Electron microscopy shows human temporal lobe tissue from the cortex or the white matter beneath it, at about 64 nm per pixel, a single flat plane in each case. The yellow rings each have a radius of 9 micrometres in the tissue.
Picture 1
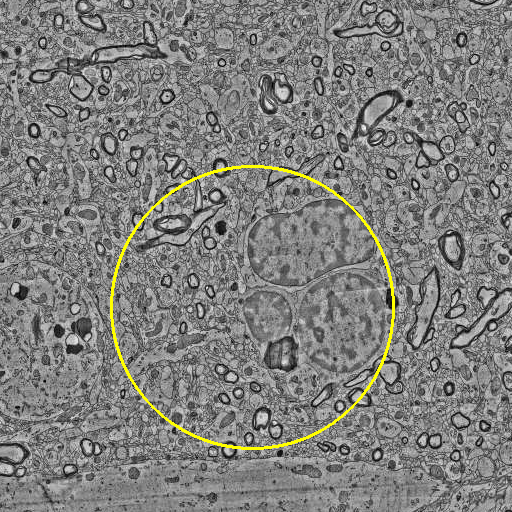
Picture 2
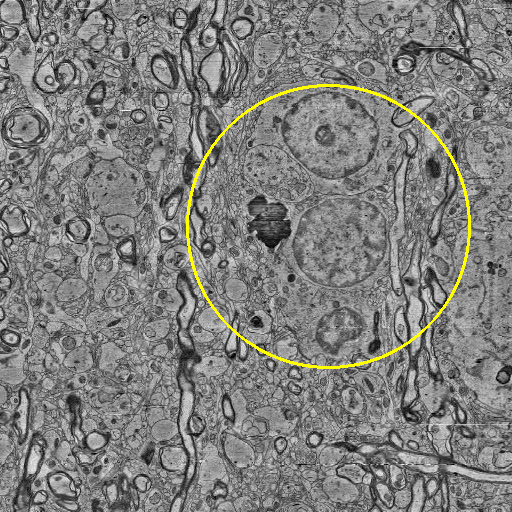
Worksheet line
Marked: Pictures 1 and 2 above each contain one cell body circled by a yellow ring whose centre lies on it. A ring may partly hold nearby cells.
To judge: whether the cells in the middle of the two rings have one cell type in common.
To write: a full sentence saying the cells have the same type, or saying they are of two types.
The cells in the middle of the rings in Picture 1 and Picture 2 have the same type.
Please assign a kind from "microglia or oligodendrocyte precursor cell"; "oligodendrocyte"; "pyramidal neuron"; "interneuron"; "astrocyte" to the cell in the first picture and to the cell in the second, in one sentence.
The second cell is an oligodendrocyte, just as the first is.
